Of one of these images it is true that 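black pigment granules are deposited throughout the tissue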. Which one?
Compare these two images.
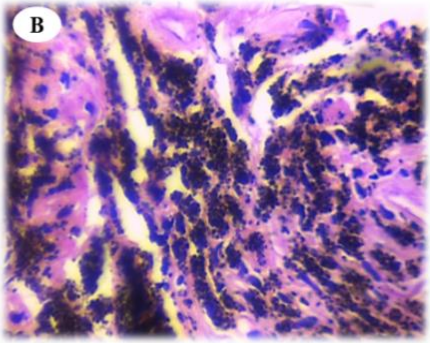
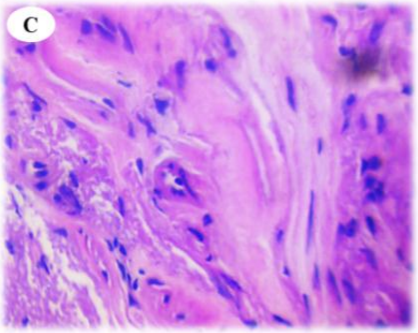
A: The first image.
